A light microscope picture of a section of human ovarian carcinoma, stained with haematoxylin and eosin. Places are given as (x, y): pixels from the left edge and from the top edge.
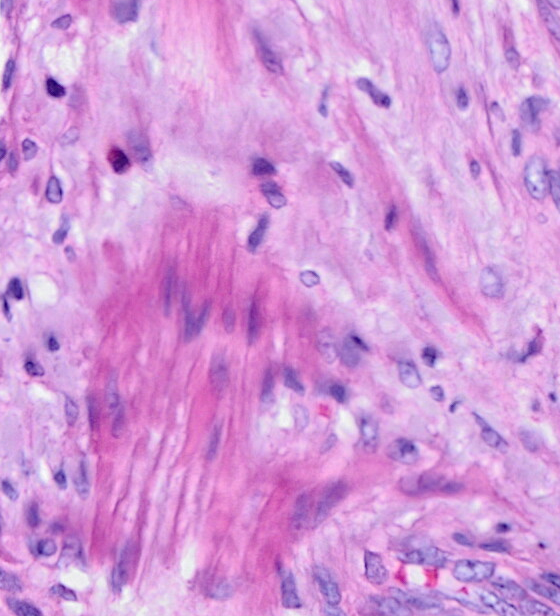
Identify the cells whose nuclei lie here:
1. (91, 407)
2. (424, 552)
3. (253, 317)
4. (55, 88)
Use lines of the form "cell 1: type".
cell 1: smooth muscle cell
cell 2: endothelial cell
cell 3: smooth muscle cell
cell 4: lymphocyte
